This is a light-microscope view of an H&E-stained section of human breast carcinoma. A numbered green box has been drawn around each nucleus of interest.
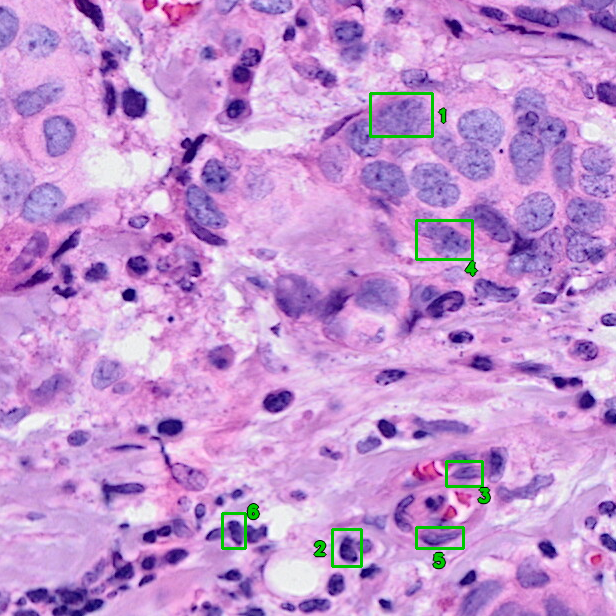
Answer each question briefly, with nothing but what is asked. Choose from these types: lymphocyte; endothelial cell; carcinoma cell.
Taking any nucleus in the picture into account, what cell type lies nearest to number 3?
endothelial cell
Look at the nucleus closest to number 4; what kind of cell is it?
carcinoma cell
